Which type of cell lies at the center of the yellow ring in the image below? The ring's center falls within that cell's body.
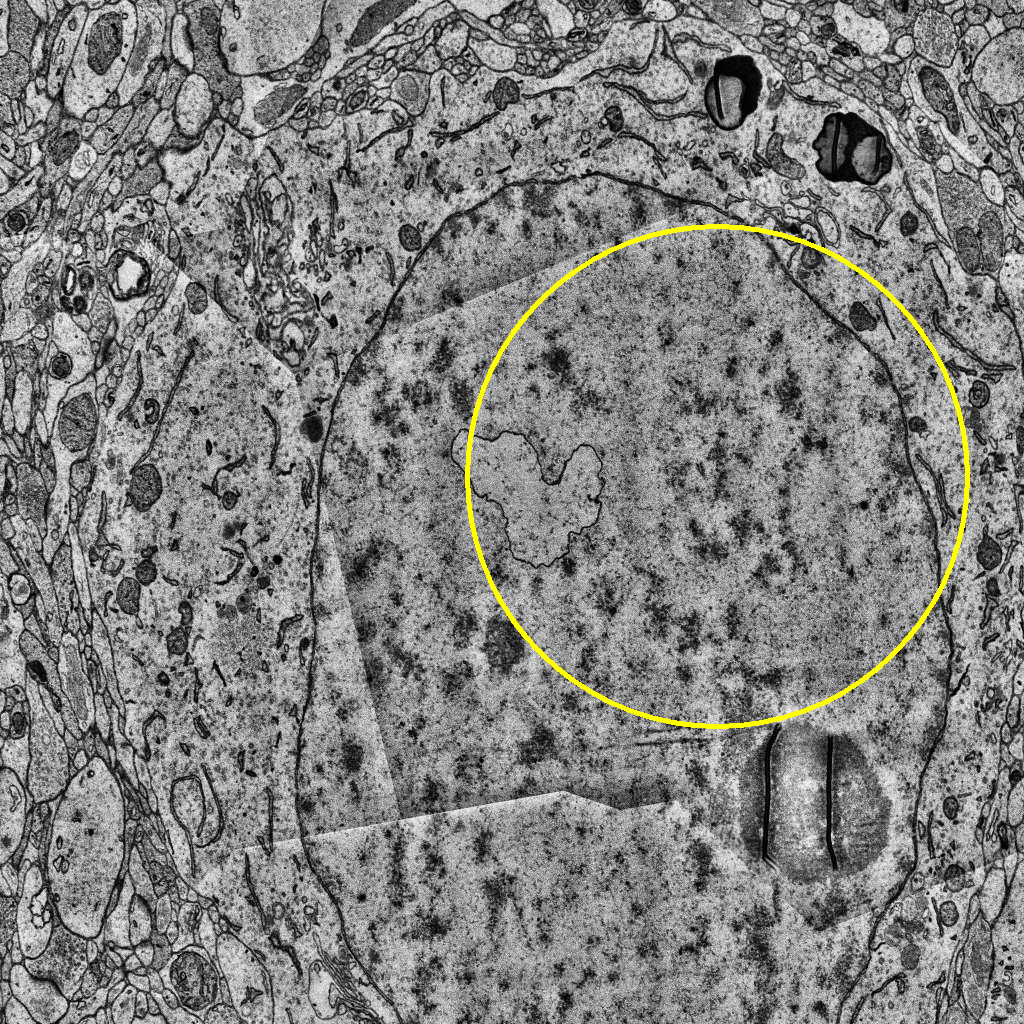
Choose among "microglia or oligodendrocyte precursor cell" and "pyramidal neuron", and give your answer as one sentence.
The cell body at the center belongs to a pyramidal neuron.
